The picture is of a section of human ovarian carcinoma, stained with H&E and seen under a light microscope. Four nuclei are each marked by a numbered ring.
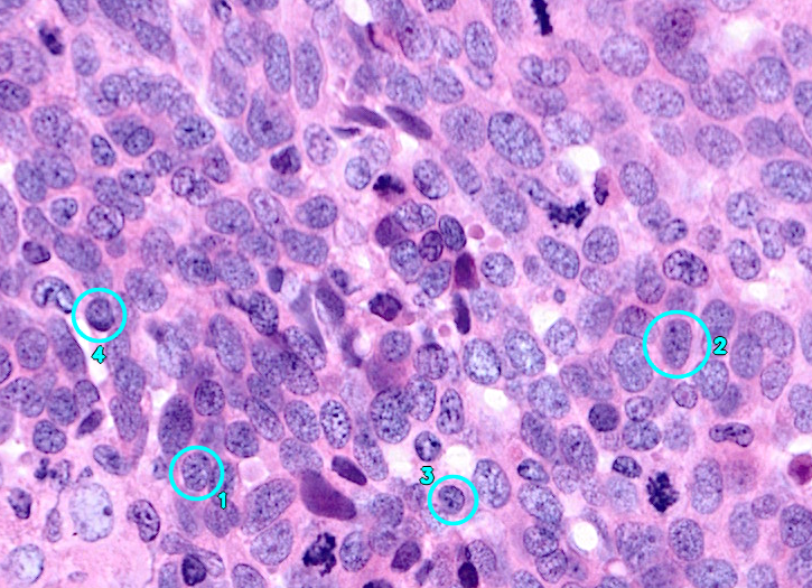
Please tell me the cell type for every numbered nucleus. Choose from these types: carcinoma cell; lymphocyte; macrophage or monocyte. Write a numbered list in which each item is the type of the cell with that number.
1. carcinoma cell
2. carcinoma cell
3. macrophage or monocyte
4. carcinoma cell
